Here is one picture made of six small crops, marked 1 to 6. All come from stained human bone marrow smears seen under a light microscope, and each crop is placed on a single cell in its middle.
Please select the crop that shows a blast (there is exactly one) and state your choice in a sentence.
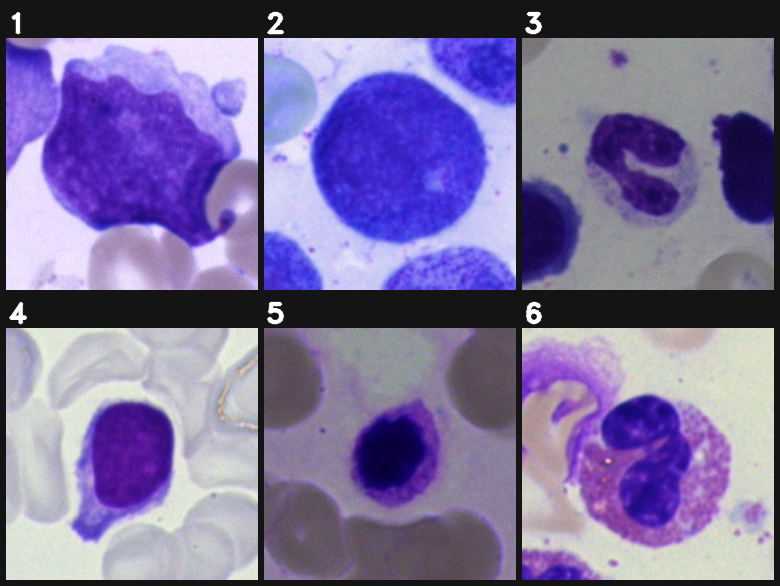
Crop 1 matches the request, showing a blast.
